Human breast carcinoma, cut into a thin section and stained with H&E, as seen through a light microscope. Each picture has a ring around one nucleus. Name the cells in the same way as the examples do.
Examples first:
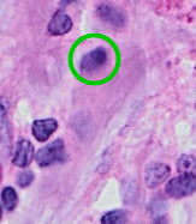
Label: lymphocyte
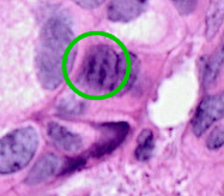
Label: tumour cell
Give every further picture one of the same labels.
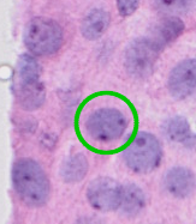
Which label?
tumour cell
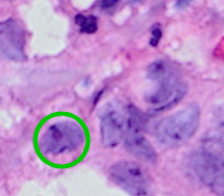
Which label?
tumour cell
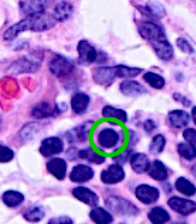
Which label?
lymphocyte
